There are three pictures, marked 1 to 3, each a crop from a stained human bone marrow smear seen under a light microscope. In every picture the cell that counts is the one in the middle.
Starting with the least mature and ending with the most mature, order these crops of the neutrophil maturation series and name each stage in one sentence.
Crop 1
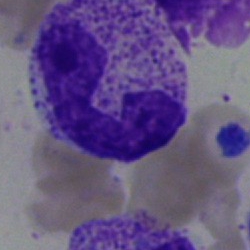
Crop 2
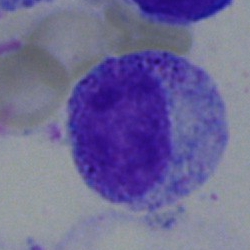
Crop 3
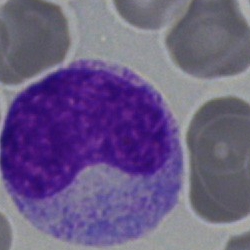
Taken from least mature to most mature, the crops are crop 2 (a myelocyte), crop 3 (a metamyelocyte) and crop 1 (a band neutrophil).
